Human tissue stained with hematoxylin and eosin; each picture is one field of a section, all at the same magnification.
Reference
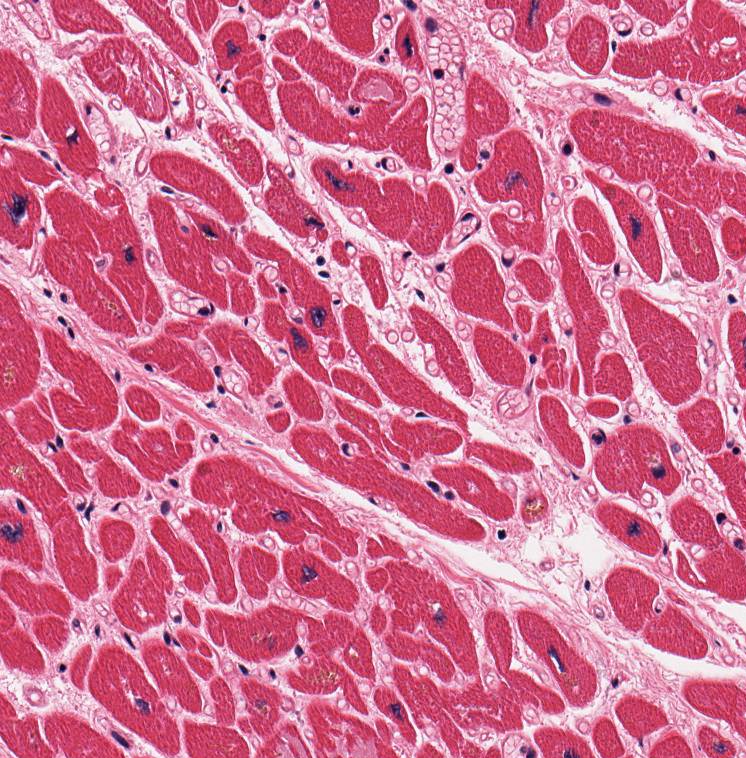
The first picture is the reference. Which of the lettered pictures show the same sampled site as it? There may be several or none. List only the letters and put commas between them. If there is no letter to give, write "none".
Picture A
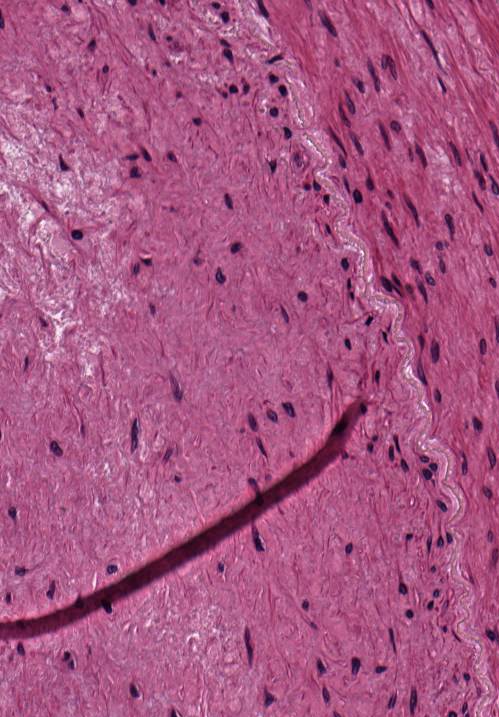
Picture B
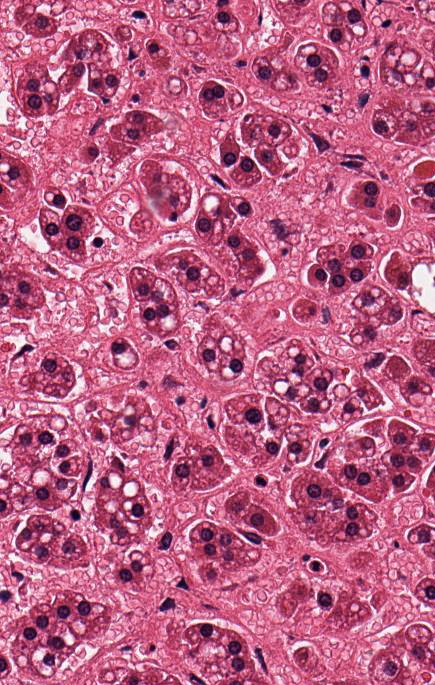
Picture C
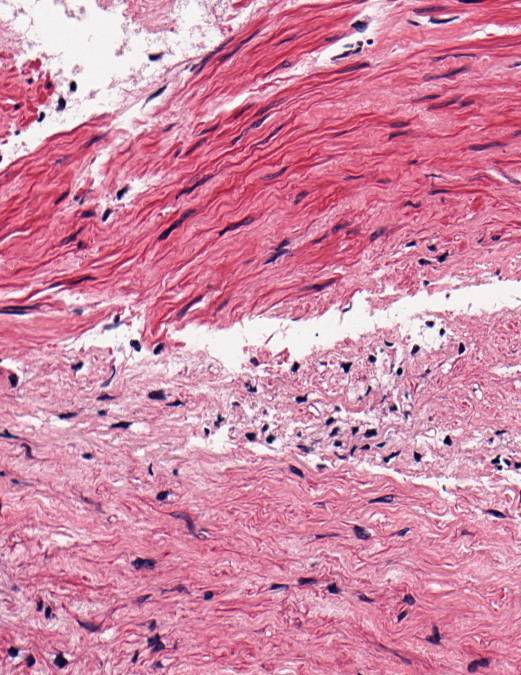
none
